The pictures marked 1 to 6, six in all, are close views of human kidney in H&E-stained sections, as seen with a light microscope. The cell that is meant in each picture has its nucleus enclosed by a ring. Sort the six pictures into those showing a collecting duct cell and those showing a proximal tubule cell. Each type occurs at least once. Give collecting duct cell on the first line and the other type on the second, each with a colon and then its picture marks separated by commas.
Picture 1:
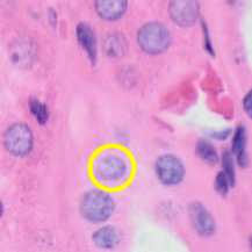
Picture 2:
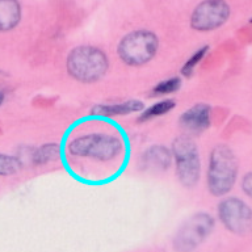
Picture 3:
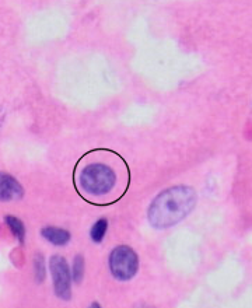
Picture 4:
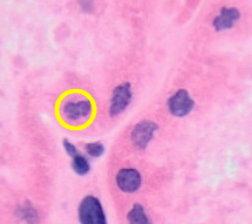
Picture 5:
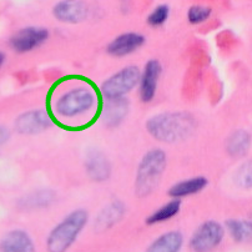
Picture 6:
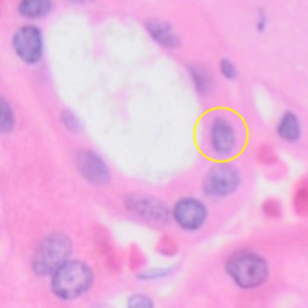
collecting duct cell: 1, 2, 5, 6
proximal tubule cell: 3, 4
